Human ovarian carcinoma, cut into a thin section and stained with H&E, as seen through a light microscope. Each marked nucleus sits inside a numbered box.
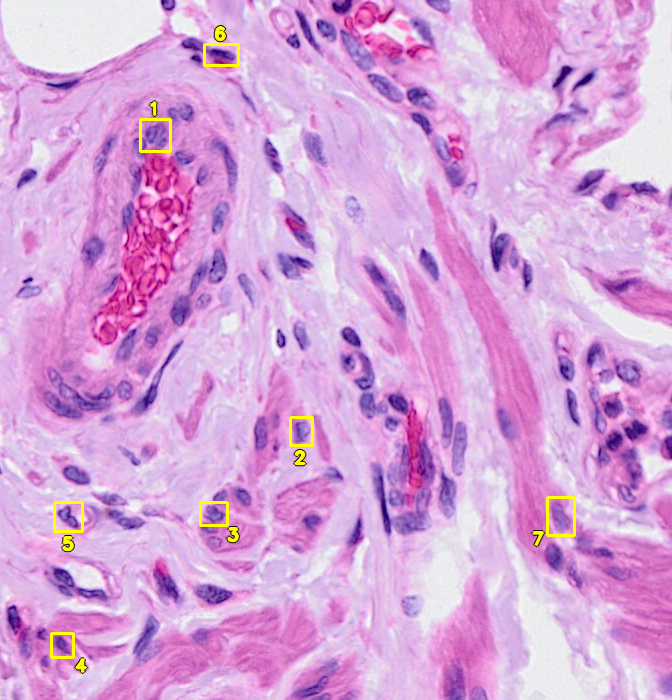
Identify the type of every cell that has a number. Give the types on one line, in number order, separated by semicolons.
endothelial cell; smooth muscle cell; smooth muscle cell; smooth muscle cell; endothelial cell; endothelial cell; smooth muscle cell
